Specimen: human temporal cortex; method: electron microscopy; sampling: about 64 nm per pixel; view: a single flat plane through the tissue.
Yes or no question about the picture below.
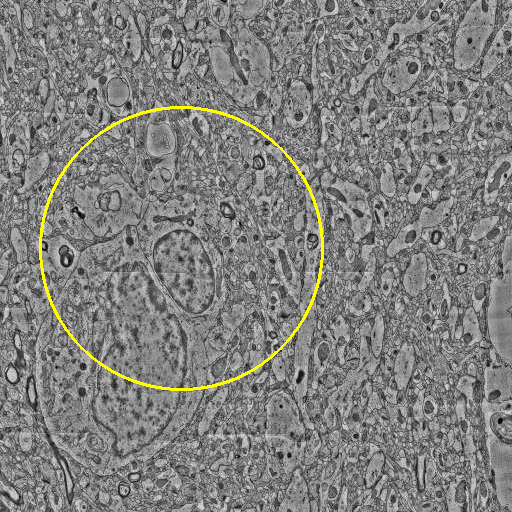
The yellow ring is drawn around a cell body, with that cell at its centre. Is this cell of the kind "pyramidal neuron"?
no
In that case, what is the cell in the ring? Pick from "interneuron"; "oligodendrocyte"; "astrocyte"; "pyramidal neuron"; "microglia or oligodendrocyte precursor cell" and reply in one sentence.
The answer is that the ringed cell is a microglial cell or oligodendrocyte precursor cell.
